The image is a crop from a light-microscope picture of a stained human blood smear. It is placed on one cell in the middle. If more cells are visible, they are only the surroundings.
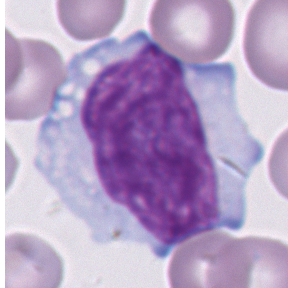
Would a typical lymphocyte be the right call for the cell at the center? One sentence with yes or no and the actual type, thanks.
No, at the centre of this crop is found a myeloblast instead of a typical lymphocyte.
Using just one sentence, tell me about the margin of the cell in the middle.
In outline, the cell is irregular, ragged in stretches or drawn into projections.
